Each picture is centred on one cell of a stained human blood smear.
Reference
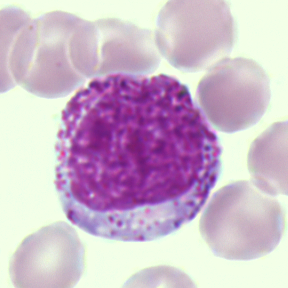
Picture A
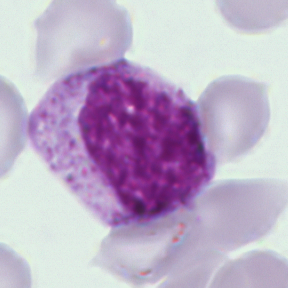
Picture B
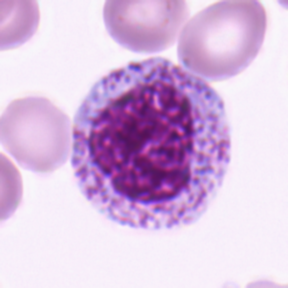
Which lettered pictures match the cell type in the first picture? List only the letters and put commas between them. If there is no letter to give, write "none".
A, B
